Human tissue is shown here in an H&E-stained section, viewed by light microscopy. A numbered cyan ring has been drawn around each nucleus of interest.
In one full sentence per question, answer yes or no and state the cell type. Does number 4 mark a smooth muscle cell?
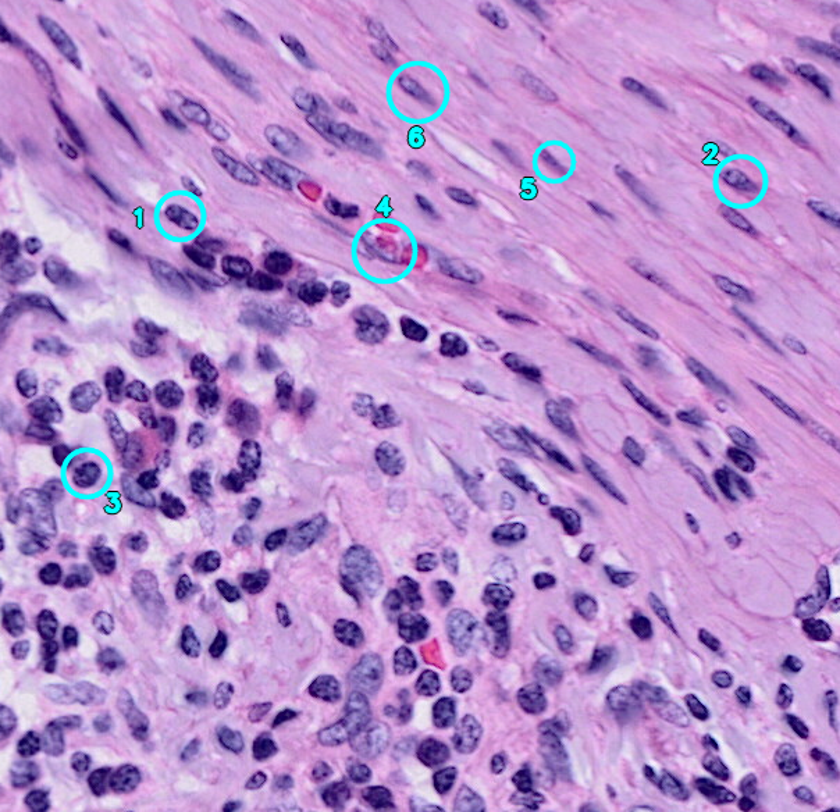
No, cell 4 isn't a smooth muscle cell; it's an endothelial cell.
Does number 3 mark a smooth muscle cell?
No, the right label for cell 3 is a lymphocyte rather than a smooth muscle cell.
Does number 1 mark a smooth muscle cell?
No, cell 1 is to be read as a lymphocyte, not a smooth muscle cell.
